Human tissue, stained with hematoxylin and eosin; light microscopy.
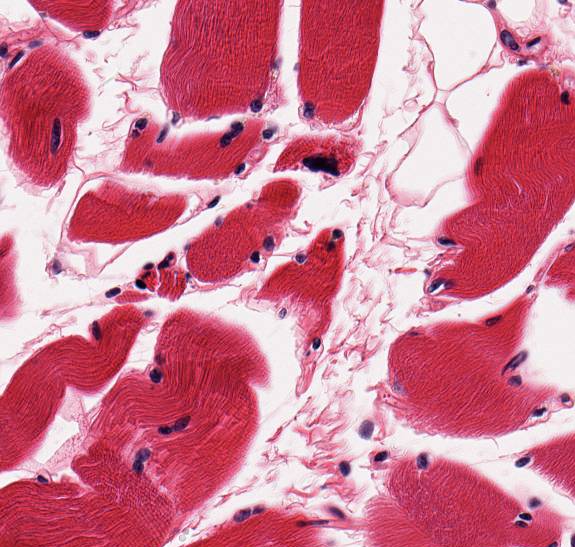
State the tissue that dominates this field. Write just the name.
skeletal muscle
